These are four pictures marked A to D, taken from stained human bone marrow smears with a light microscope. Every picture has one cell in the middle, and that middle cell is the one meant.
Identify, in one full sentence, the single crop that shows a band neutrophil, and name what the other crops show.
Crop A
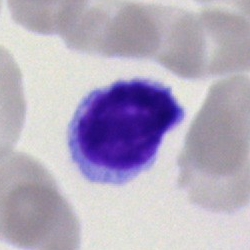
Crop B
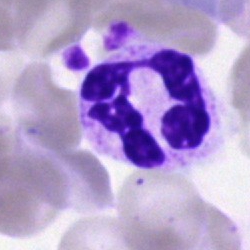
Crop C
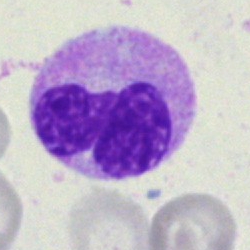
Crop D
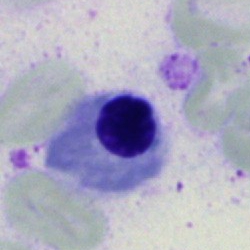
In crop C the cell is a band neutrophil, whereas crop A is a lymphocyte, crop B is a segmented neutrophil and crop D is a normoblast.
